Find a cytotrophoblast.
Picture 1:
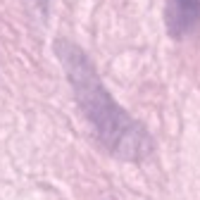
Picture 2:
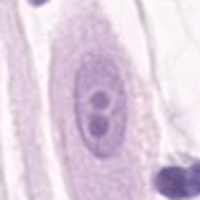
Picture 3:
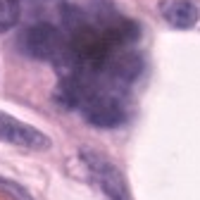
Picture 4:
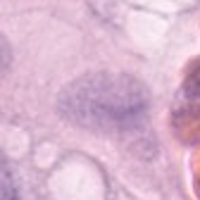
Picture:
4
